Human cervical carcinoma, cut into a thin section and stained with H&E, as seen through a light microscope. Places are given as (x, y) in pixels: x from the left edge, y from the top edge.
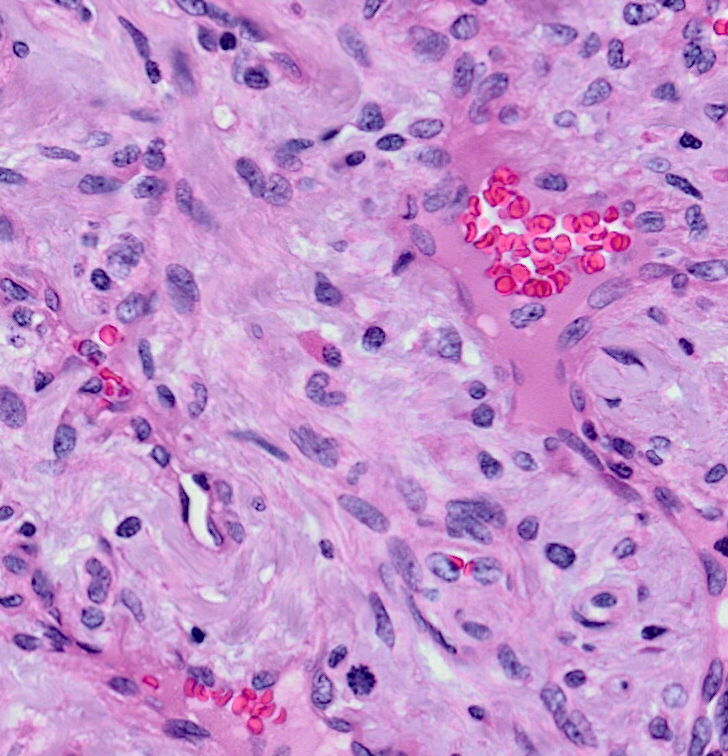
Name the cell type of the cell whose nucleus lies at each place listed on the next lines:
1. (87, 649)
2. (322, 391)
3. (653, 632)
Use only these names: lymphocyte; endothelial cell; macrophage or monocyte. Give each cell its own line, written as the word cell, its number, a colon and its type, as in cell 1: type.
cell 1: endothelial cell
cell 2: macrophage or monocyte
cell 3: lymphocyte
